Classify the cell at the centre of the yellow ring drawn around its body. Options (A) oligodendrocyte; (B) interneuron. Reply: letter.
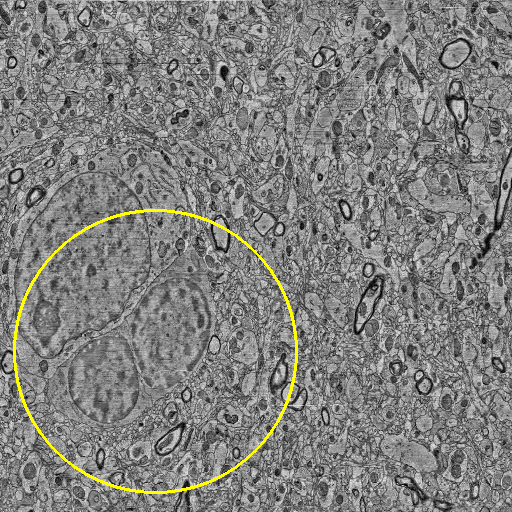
A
